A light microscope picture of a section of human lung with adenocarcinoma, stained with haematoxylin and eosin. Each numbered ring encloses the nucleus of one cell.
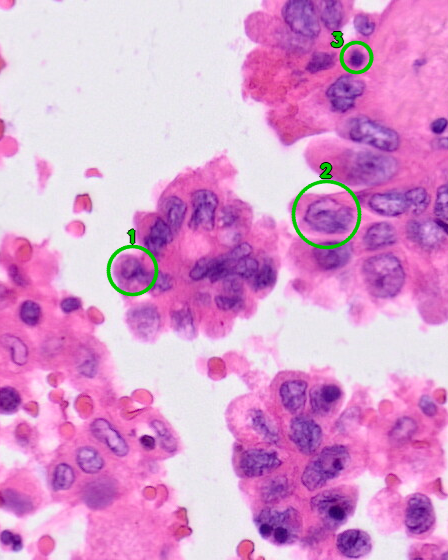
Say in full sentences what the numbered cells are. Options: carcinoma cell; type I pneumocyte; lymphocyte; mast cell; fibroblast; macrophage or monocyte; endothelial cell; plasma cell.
Cell 1 is a carcinoma cell, cell 2 is a carcinoma cell and cell 3 is a lymphocyte.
